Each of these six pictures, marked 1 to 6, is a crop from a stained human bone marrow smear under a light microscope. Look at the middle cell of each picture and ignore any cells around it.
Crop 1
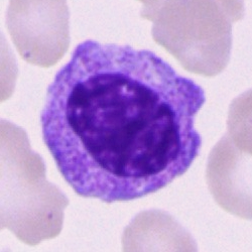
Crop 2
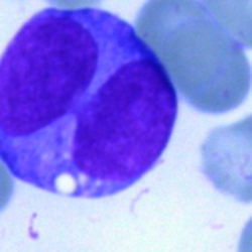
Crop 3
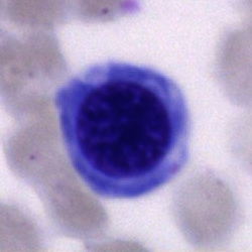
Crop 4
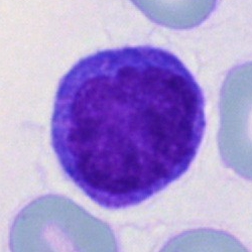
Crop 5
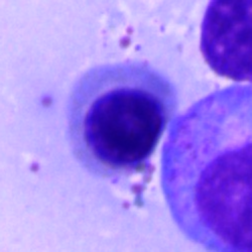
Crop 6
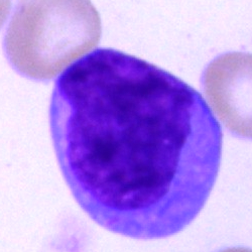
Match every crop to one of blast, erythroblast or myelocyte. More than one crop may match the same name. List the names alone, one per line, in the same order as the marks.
myelocyte
blast
erythroblast
blast
erythroblast
blast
